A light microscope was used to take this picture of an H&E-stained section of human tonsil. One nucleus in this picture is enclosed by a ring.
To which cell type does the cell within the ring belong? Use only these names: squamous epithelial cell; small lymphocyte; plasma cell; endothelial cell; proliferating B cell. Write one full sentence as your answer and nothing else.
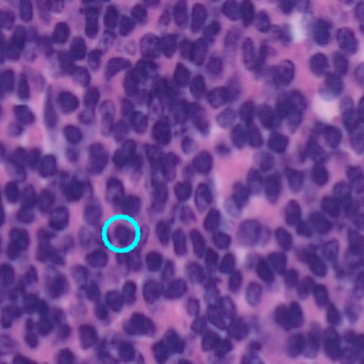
Within the stained tissue, the cell within the ring is a small lymphocyte.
